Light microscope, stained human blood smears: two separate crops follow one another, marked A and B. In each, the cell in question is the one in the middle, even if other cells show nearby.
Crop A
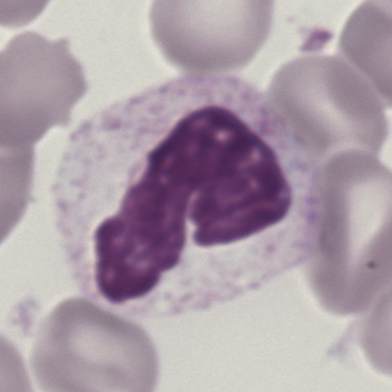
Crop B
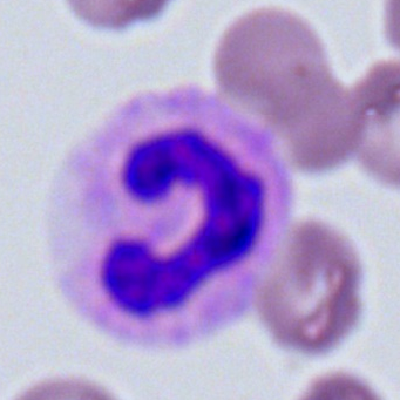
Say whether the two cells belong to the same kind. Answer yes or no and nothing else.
yes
